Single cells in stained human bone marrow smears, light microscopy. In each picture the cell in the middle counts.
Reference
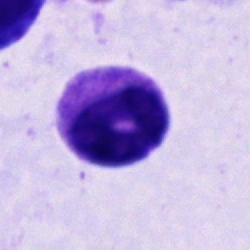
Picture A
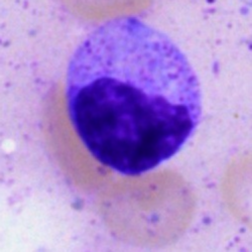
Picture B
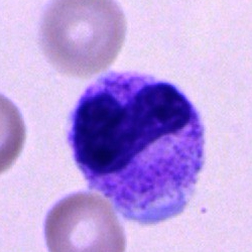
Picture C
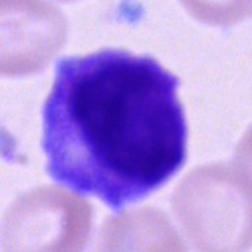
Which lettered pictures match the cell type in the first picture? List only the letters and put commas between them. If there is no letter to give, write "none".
B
